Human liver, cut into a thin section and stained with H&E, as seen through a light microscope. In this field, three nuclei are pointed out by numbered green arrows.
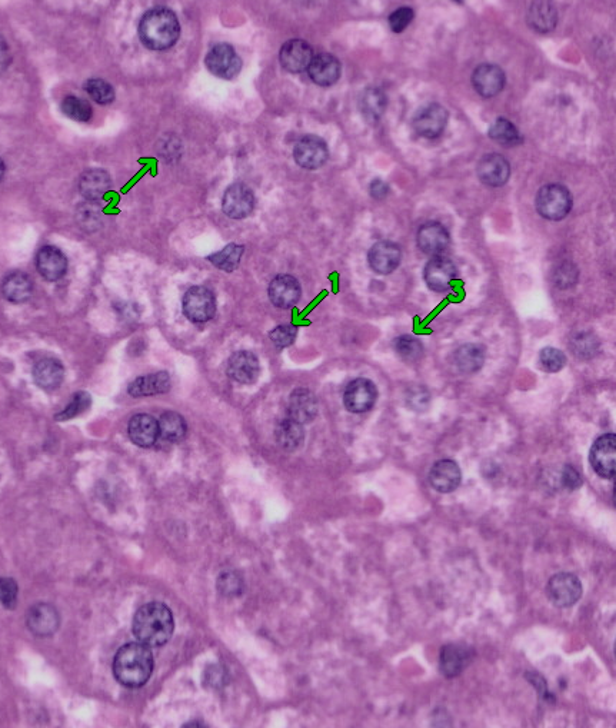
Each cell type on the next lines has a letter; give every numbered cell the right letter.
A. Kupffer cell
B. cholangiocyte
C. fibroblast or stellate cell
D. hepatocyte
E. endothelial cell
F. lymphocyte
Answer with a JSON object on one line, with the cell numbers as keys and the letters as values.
{"1": "E", "2": "D", "3": "A"}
